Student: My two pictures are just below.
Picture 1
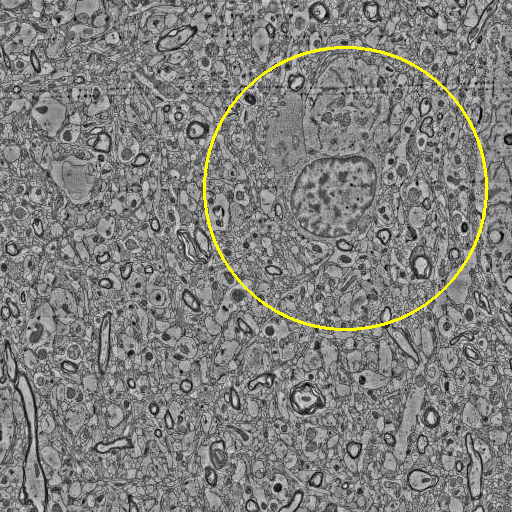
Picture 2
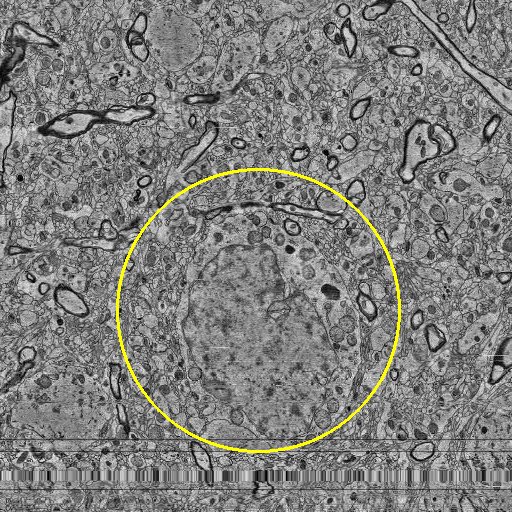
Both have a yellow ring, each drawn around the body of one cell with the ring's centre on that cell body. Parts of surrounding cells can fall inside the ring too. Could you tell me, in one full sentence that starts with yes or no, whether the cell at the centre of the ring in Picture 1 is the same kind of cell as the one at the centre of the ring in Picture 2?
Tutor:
No, the two cells are of two kinds.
